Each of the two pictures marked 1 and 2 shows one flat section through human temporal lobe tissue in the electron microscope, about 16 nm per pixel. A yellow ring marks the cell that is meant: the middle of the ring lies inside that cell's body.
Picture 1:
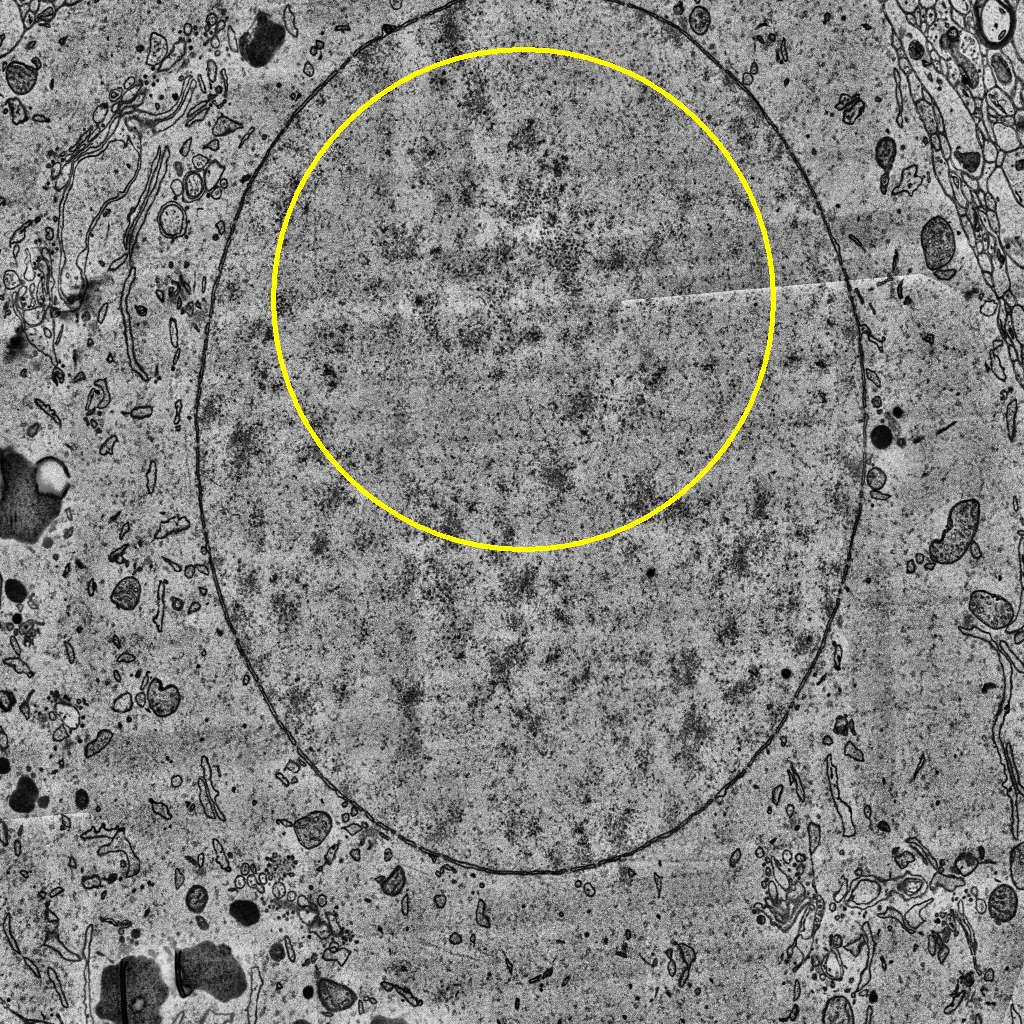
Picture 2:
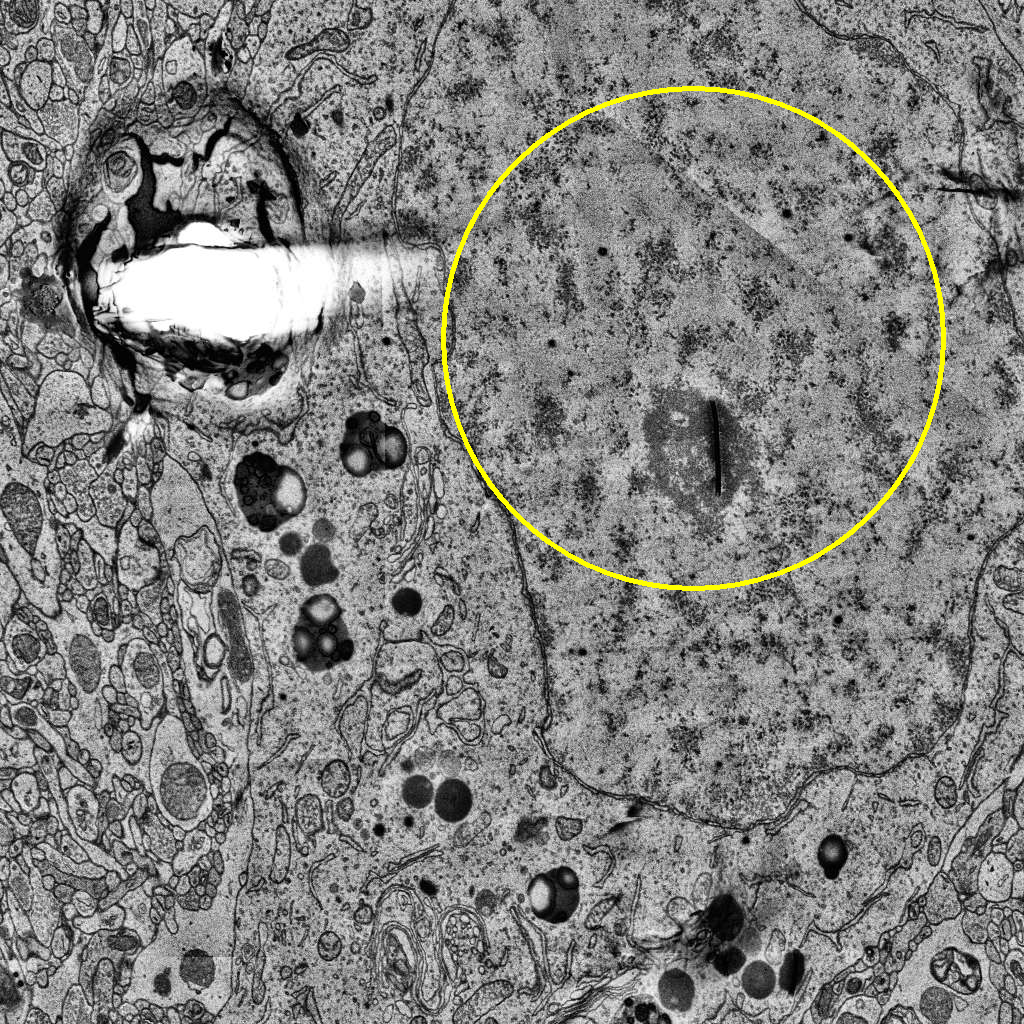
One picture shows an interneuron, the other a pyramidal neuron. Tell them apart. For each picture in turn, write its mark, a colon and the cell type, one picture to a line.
1: pyramidal neuron
2: interneuron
